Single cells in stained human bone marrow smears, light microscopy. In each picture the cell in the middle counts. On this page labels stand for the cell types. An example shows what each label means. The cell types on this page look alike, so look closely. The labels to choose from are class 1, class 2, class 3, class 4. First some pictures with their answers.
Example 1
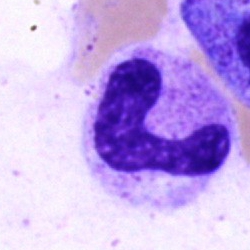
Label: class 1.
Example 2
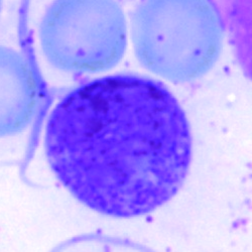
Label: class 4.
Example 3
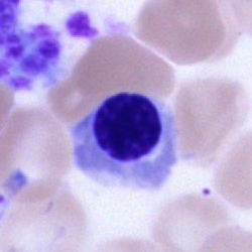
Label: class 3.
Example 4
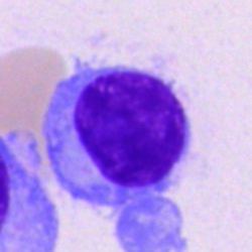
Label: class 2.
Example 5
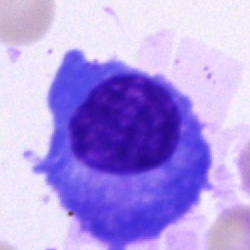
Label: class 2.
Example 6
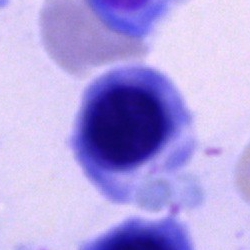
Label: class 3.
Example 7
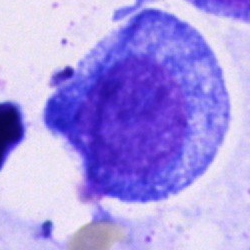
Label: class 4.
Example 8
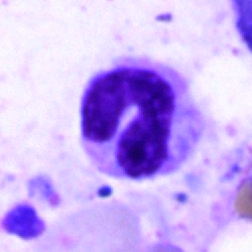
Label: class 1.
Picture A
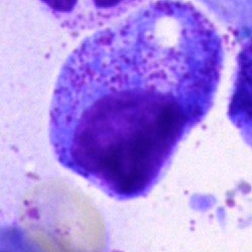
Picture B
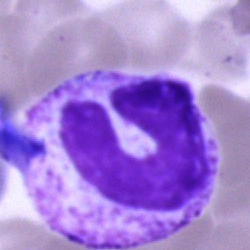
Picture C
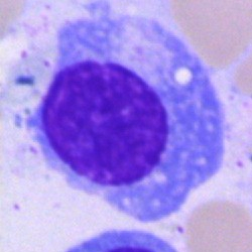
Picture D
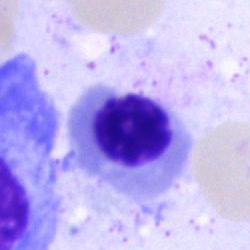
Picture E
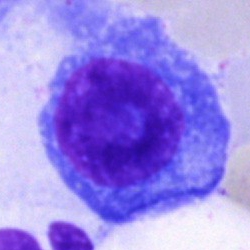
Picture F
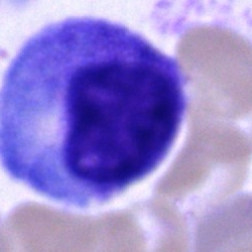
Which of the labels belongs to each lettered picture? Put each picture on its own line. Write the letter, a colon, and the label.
A: class 4.
B: class 1.
C: class 2.
D: class 3.
E: class 2.
F: class 4.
